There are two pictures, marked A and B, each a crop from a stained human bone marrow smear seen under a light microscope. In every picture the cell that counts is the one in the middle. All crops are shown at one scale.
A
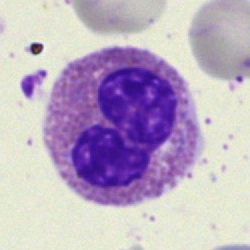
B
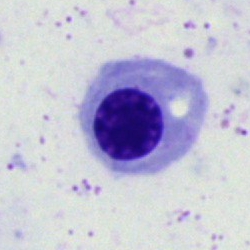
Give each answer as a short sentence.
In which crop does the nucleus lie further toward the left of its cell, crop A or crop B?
The nucleus in crop B lies further toward the left of its cell.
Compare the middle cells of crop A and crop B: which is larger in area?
Larger is the cell in crop A, at roughly 1.5 times the area of the other.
